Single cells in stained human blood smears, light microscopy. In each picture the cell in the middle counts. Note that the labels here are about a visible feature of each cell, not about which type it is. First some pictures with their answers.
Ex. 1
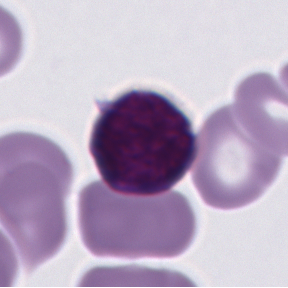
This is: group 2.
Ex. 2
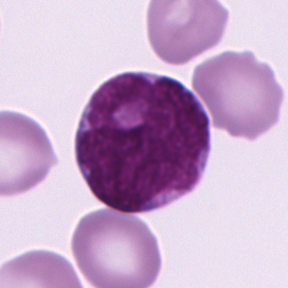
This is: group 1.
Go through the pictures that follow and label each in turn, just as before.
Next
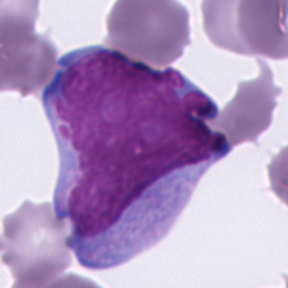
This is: group 1.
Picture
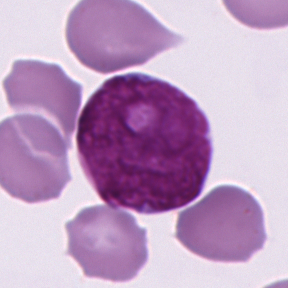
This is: group 1.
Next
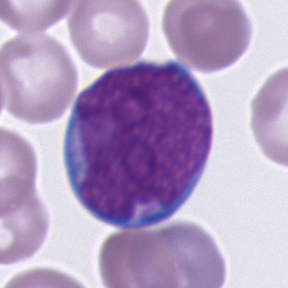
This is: group 1.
